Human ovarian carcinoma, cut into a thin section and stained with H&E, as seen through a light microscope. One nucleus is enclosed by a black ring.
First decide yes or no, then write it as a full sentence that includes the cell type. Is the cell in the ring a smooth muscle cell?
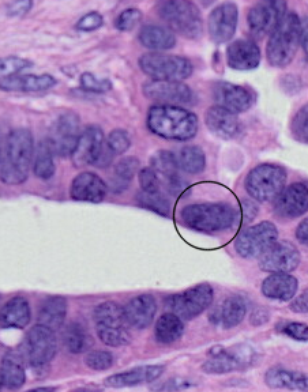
No, the cell in the ring is not a smooth muscle cell; the correct answer is a carcinoma cell.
